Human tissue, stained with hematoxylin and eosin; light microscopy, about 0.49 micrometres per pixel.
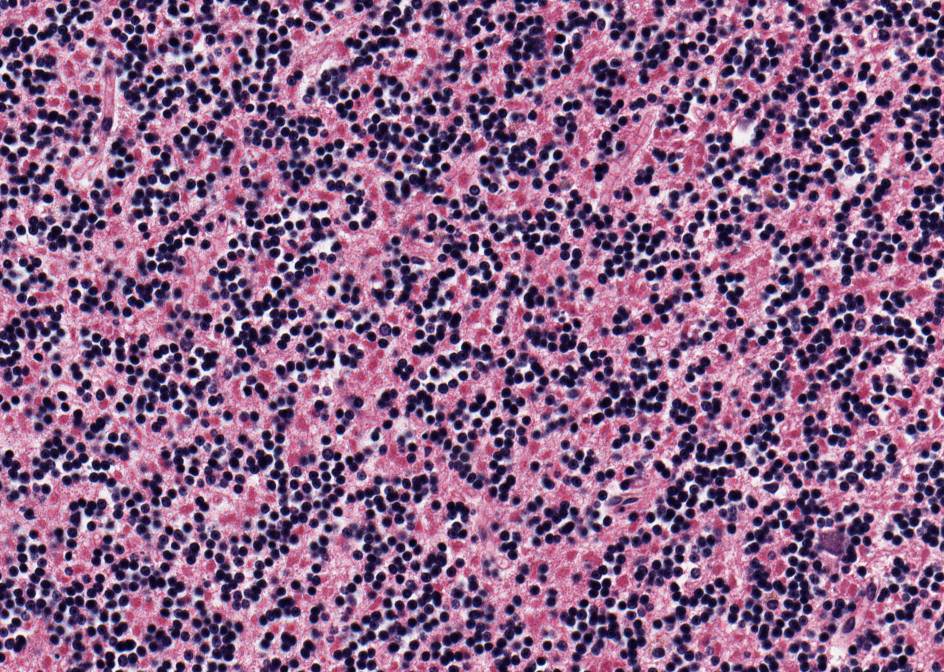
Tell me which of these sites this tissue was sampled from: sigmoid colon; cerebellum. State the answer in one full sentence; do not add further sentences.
For this section, tissue was sampled from the cerebellum.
